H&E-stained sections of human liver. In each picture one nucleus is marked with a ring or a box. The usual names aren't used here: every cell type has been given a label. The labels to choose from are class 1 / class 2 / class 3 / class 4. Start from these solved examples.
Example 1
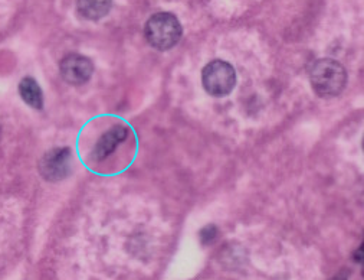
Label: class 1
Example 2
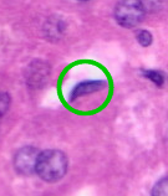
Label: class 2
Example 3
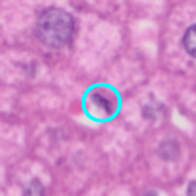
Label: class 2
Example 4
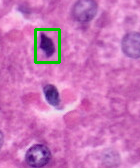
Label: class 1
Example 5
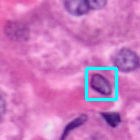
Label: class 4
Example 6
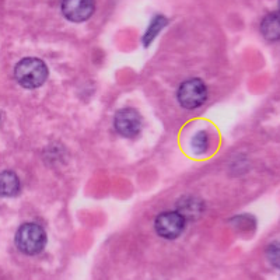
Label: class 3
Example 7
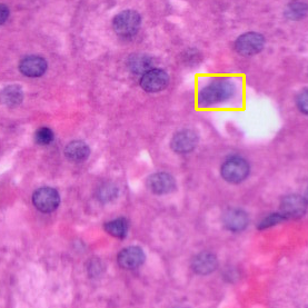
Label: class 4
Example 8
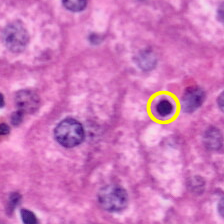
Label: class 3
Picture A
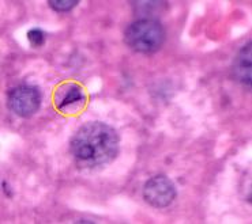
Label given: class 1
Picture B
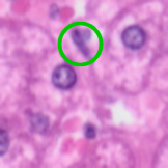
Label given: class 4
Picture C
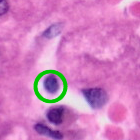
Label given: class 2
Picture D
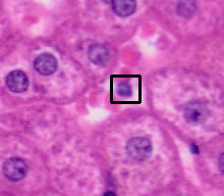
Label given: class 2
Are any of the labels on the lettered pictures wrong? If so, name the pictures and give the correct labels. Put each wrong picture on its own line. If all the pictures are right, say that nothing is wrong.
C: class 3, not class 2
D: class 3, not class 2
